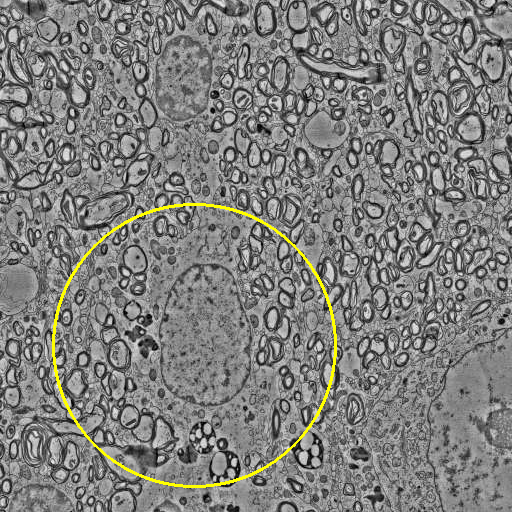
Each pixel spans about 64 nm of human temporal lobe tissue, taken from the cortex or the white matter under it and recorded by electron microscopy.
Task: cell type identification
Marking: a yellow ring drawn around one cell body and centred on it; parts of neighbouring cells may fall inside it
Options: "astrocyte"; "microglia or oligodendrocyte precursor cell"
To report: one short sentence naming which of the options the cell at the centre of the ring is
The cell at the centre of the ring is an astrocyte.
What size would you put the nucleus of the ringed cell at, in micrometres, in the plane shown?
In this plane, approximately 9 by 6 micrometers.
